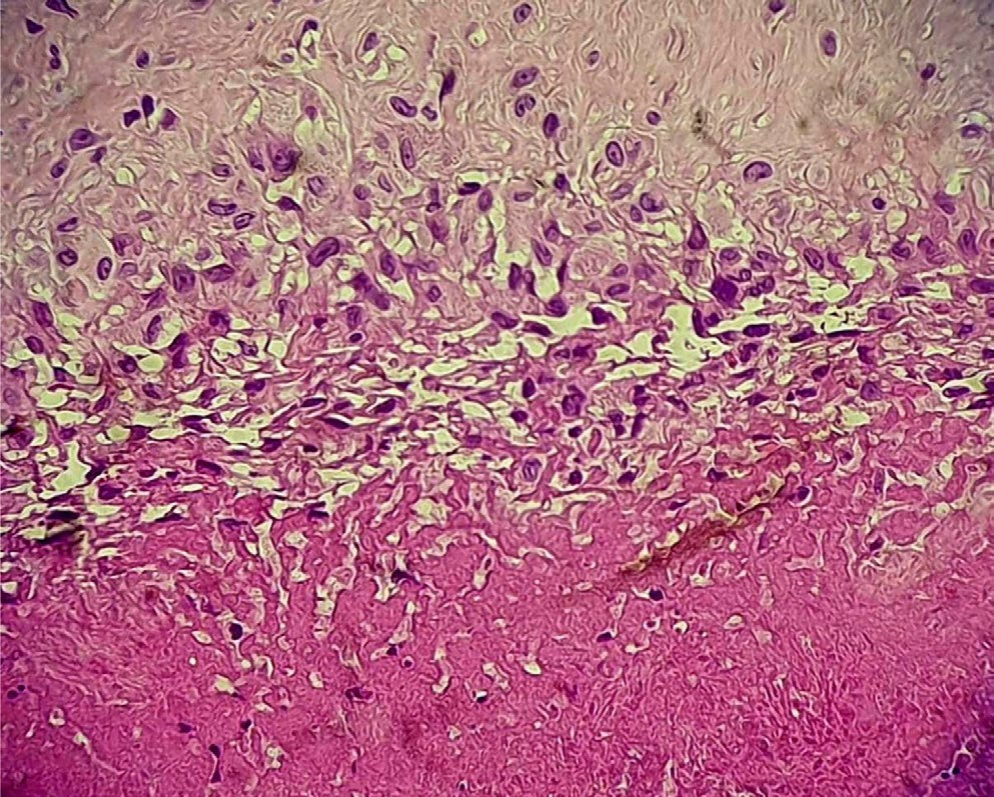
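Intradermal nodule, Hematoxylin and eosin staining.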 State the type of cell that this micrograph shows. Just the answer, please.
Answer: Epithelioid macrophages.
